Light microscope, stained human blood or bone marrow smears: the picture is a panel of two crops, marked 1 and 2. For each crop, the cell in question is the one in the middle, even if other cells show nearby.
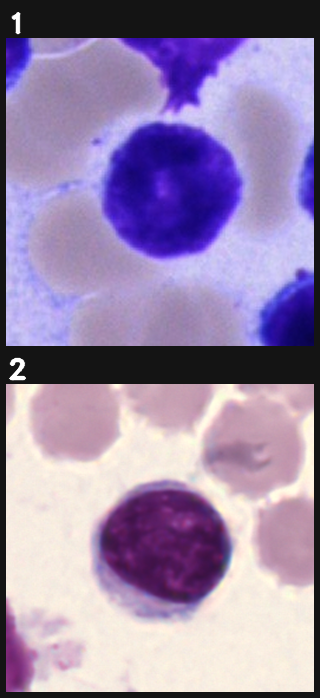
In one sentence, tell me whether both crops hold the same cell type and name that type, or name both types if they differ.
No, the cells are a lymphocyte in crop 1 and a plasma cell in crop 2.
